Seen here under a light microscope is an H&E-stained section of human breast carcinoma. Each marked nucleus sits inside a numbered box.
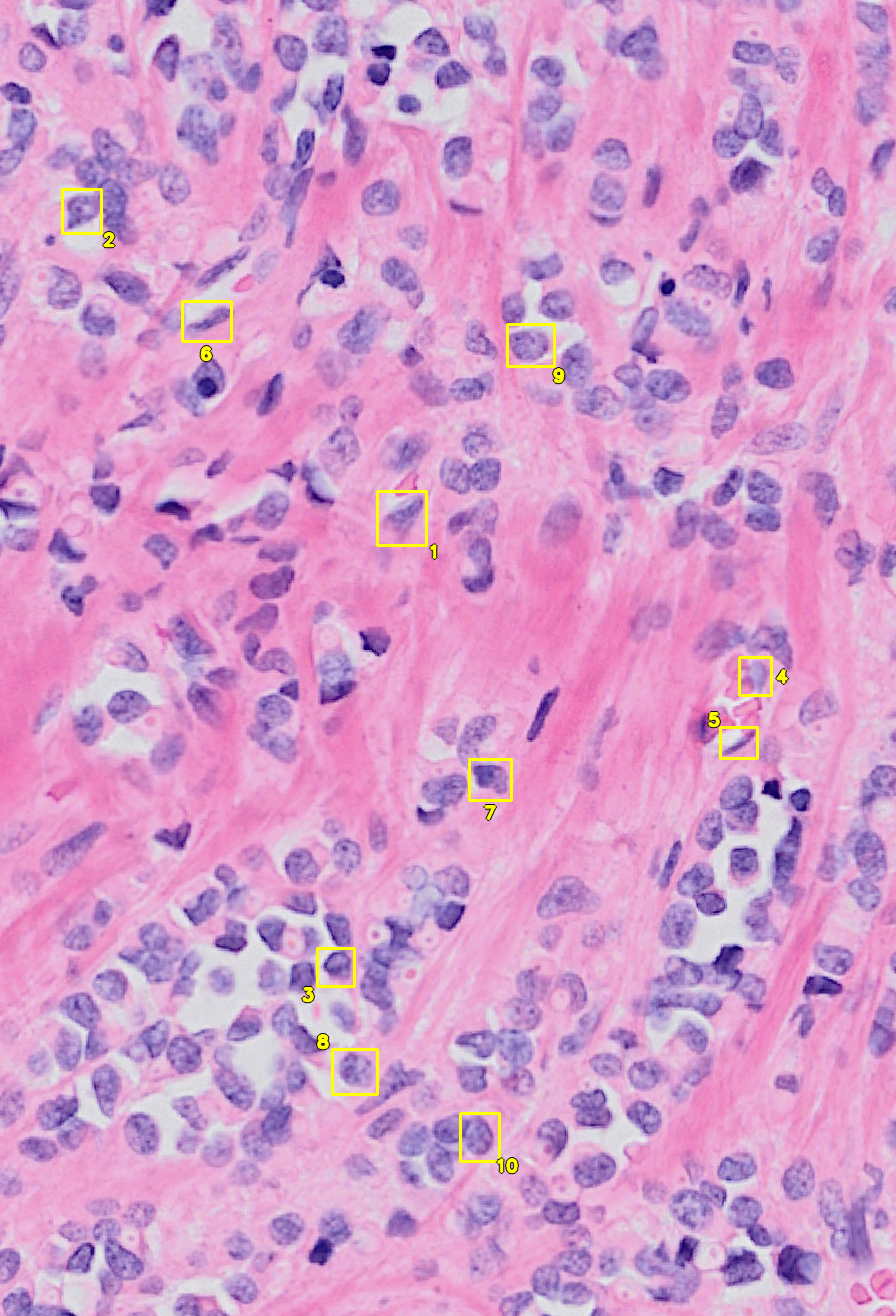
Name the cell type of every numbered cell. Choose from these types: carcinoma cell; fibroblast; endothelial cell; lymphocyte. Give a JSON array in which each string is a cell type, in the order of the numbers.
["endothelial cell", "carcinoma cell", "carcinoma cell", "endothelial cell", "endothelial cell", "endothelial cell", "lymphocyte", "carcinoma cell", "carcinoma cell", "carcinoma cell"]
